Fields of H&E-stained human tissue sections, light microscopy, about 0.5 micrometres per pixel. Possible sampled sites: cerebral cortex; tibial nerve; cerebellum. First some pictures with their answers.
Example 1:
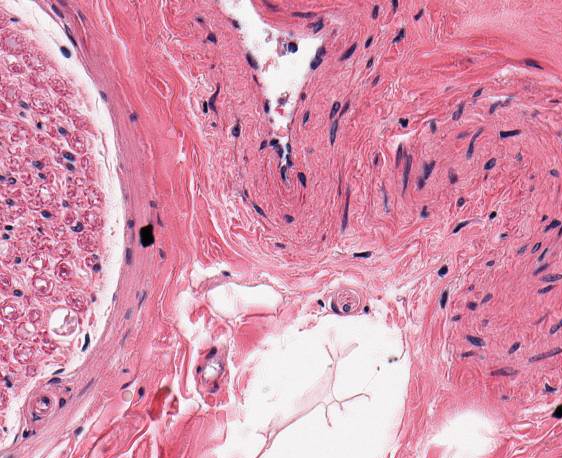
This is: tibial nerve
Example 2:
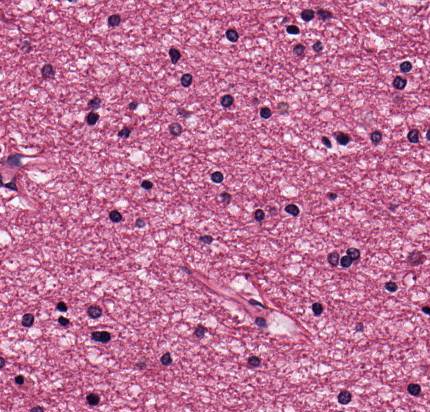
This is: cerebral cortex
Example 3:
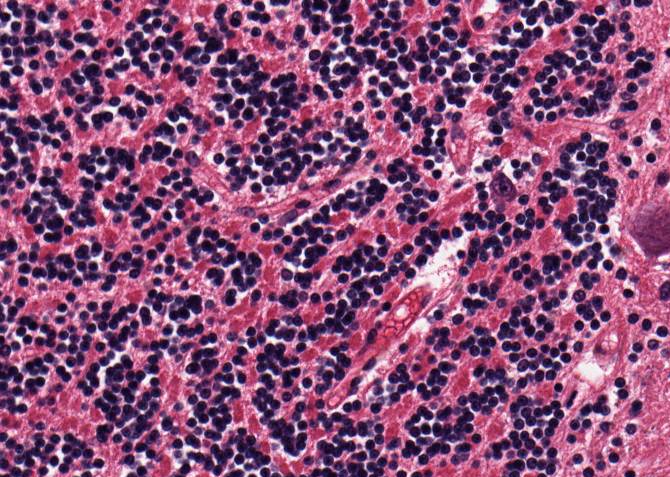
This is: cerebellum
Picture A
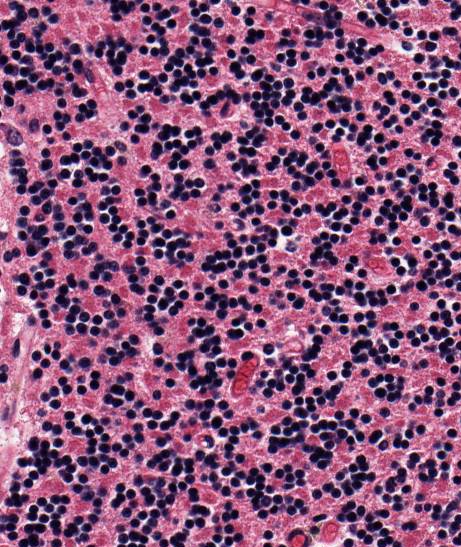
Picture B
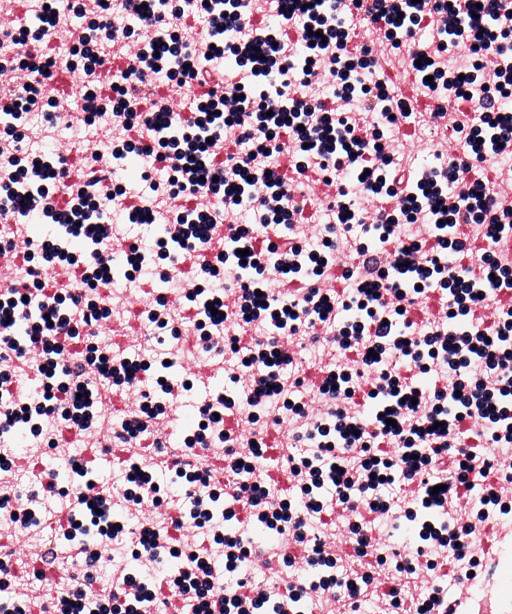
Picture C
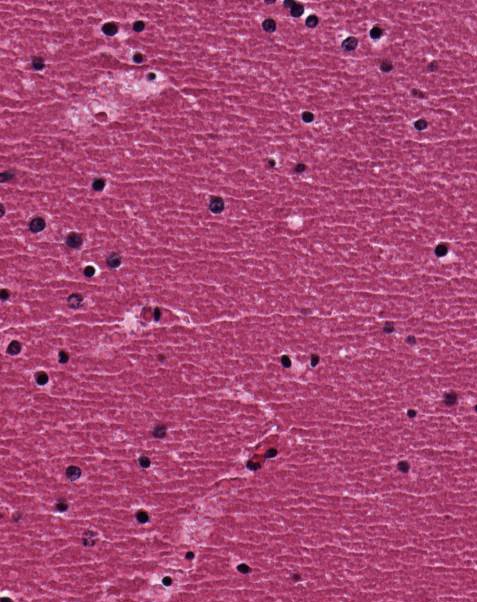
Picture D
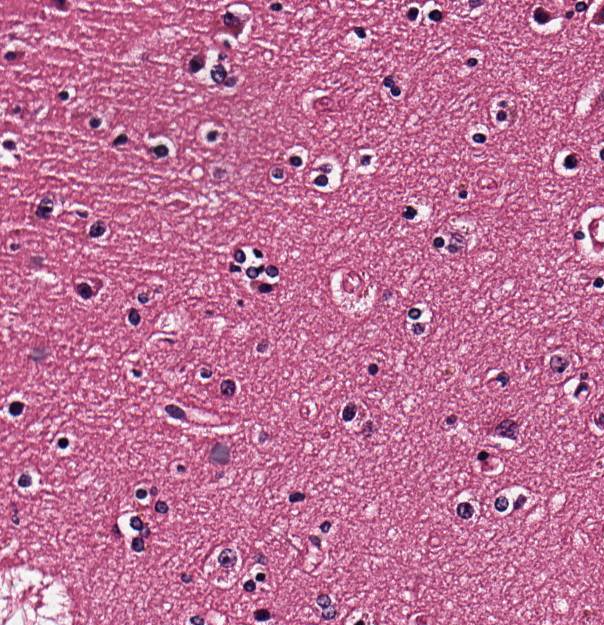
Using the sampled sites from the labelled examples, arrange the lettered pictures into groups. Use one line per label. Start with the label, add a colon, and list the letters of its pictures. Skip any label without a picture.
cerebral cortex: D
cerebellum: A, B, C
